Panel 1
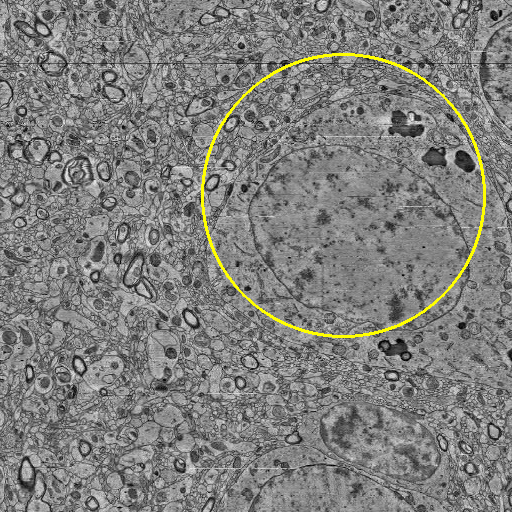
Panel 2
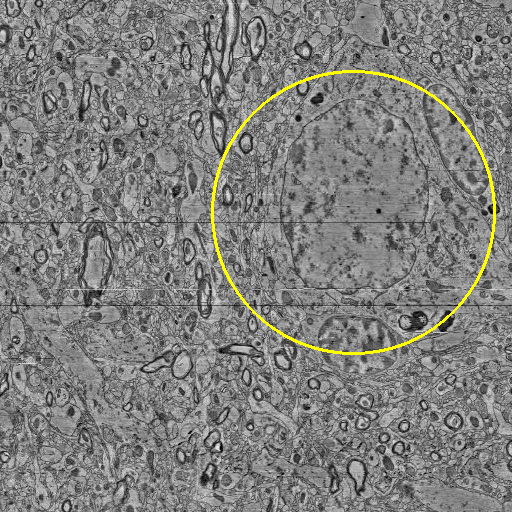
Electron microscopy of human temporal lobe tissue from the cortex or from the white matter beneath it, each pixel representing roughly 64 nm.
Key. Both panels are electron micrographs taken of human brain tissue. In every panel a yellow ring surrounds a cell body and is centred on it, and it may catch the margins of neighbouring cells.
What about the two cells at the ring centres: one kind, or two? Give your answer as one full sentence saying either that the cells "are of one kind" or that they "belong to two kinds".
Across Panels 1 and 2, the two cells at the ring centres are of one kind.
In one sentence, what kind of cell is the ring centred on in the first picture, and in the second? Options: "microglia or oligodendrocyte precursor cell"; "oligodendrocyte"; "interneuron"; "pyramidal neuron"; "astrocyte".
The first and the second cell are each a pyramidal neuron.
